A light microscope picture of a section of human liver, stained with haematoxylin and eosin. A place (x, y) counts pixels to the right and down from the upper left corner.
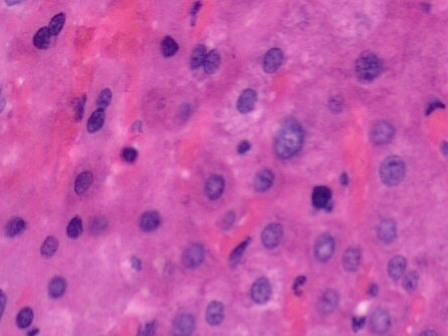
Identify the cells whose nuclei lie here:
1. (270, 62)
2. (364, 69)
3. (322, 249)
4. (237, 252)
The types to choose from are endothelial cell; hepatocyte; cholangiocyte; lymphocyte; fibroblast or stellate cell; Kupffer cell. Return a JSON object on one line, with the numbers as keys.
{"1": "hepatocyte", "2": "hepatocyte", "3": "hepatocyte", "4": "endothelial cell"}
